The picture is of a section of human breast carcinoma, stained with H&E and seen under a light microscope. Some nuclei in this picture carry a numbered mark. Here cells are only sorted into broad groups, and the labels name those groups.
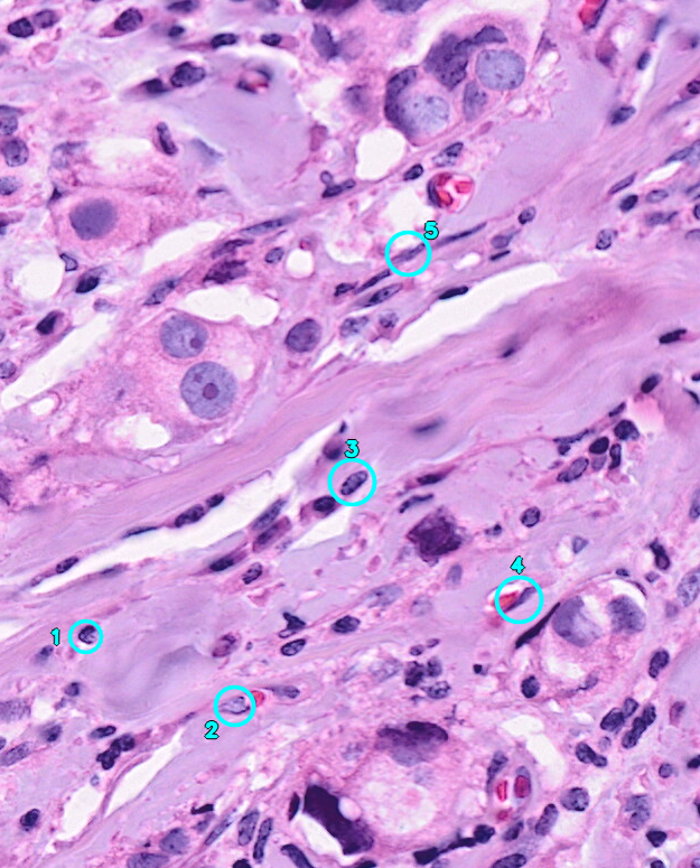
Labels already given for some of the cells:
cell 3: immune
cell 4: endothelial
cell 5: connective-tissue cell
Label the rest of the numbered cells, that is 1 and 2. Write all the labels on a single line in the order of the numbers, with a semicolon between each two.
immune; endothelial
